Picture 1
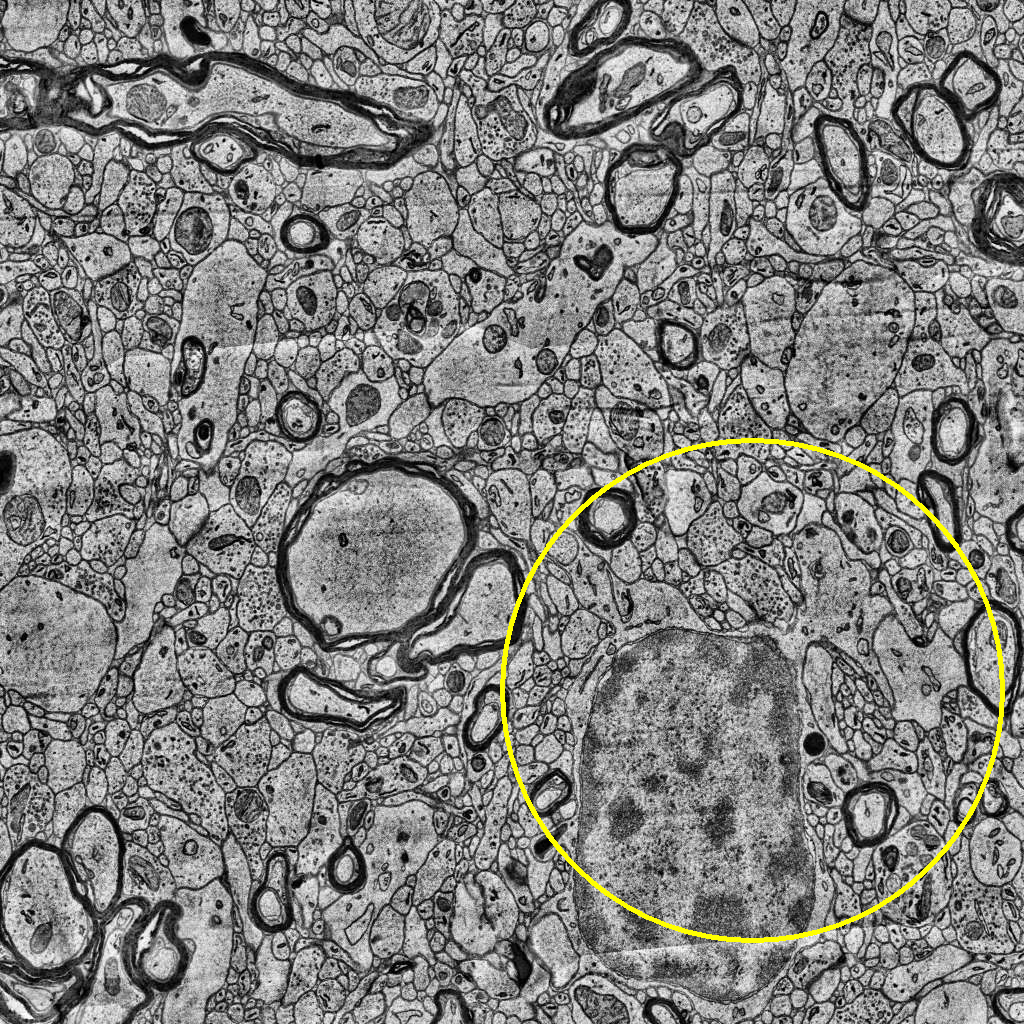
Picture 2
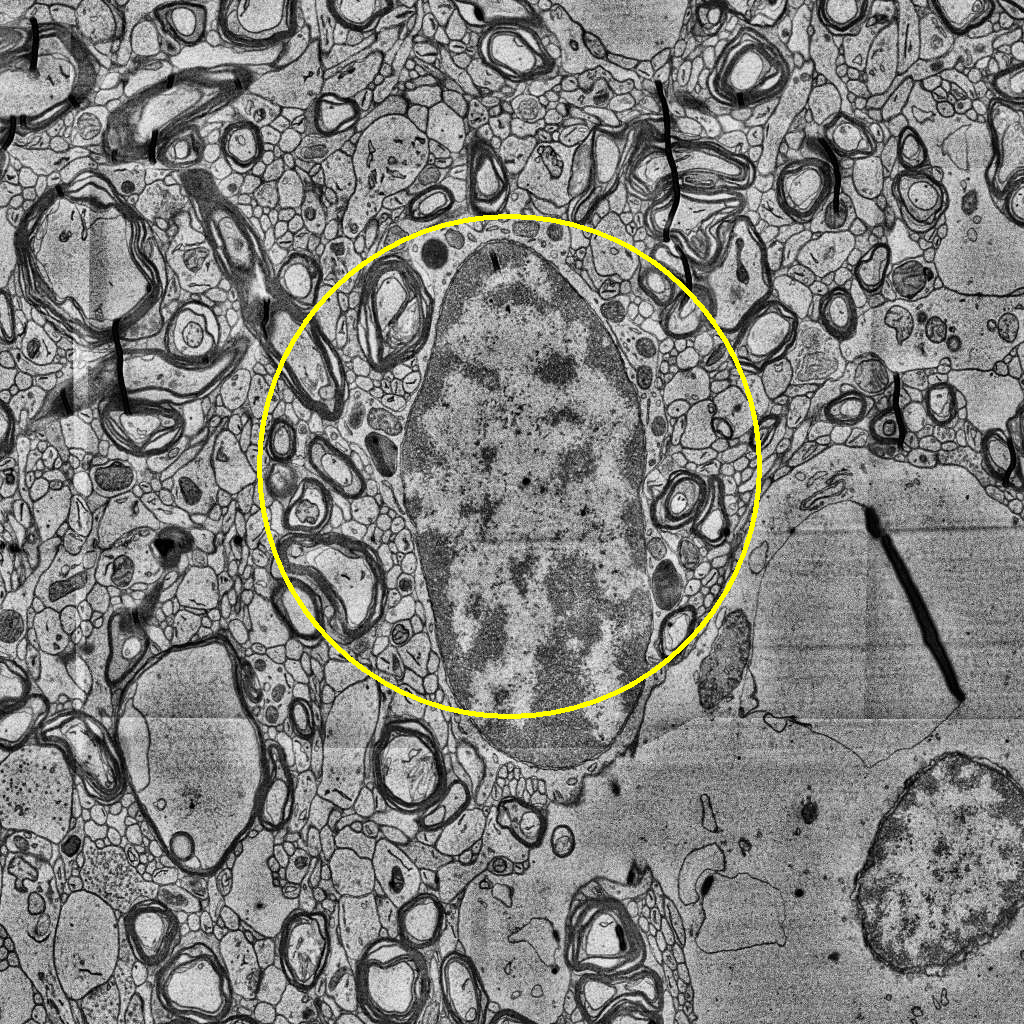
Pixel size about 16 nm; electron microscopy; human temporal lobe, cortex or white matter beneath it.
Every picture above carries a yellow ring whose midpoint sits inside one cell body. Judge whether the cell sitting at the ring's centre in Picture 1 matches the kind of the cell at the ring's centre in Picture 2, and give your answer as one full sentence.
Yes, the cells at the centres of the rings in Pictures 1 and 2 belong to one kind.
